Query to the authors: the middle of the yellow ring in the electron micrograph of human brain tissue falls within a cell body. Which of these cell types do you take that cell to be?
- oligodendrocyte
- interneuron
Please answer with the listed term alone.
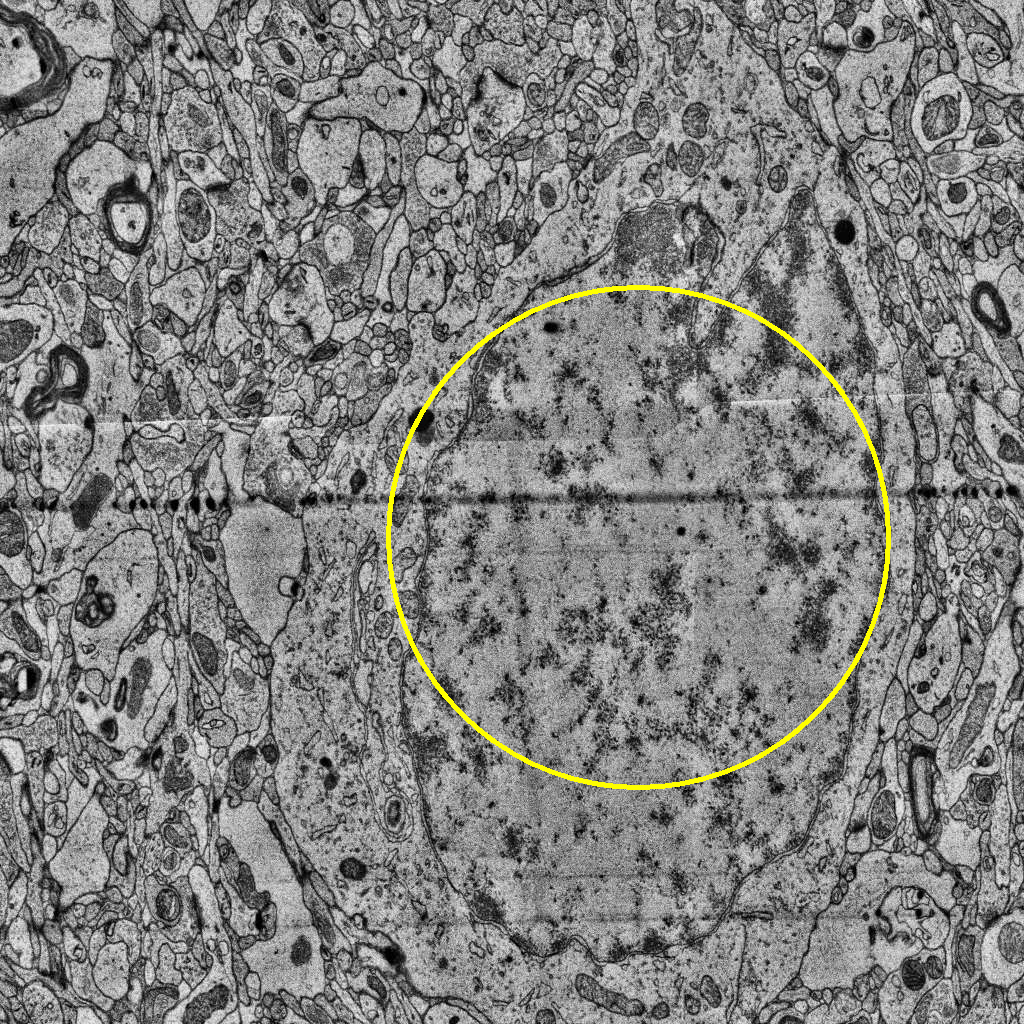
interneuron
